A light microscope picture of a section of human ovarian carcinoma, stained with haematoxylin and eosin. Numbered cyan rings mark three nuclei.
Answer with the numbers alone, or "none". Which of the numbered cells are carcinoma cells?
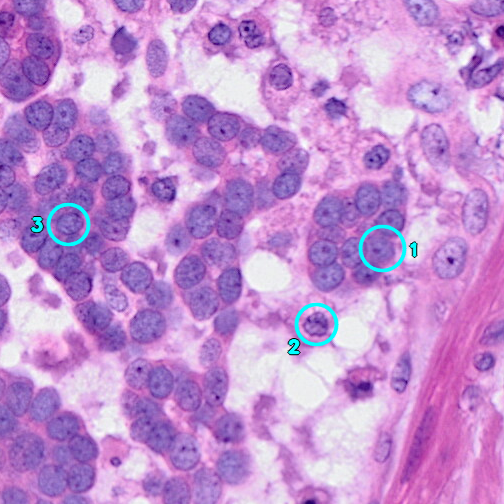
1, 3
